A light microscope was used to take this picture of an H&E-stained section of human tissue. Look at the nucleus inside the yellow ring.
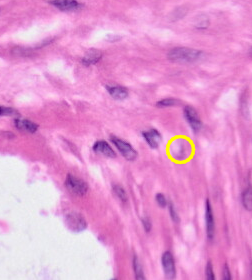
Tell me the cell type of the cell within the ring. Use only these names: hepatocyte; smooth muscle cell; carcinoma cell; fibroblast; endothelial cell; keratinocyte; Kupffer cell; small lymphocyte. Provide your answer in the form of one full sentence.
In terms of identity, the cell within the ring is a fibroblast.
